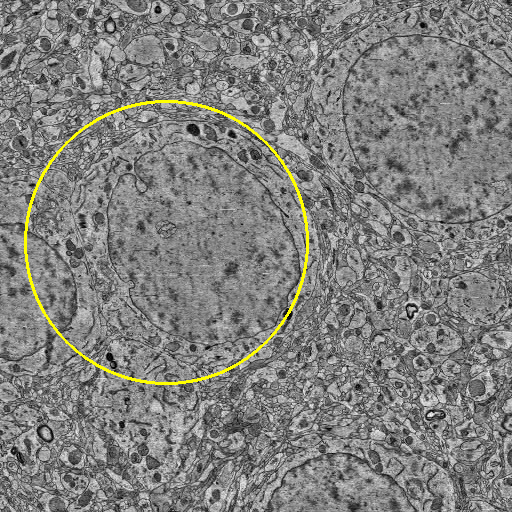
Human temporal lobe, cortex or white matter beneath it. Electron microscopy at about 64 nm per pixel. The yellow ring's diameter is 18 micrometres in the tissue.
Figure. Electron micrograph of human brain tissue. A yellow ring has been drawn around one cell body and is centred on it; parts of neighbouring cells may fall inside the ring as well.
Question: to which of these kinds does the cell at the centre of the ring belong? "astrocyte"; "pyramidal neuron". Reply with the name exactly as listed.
pyramidal neuron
